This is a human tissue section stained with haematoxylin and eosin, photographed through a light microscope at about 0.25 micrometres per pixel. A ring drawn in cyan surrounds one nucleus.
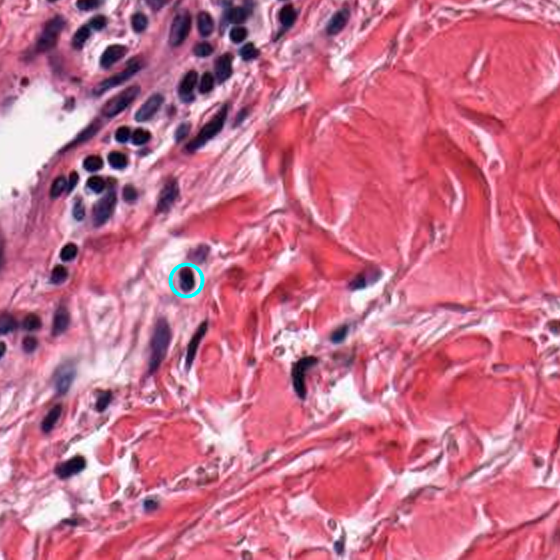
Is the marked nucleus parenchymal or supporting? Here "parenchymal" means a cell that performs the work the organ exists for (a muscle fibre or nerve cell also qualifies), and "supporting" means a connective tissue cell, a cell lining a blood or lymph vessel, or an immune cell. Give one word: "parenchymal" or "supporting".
supporting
